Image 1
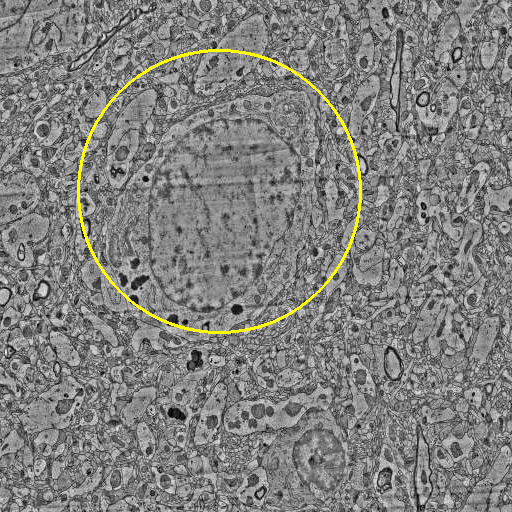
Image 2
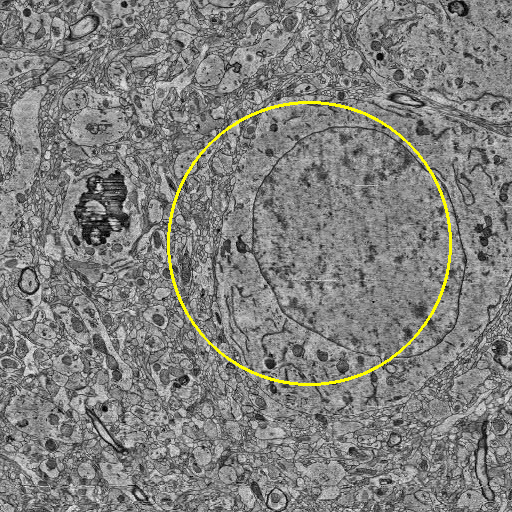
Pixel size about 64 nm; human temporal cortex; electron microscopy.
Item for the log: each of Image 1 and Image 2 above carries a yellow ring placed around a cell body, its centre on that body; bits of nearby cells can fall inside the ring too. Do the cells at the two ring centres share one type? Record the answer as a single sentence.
No, the two cells at the ring centres in Image 1 and Image 2 are of two types.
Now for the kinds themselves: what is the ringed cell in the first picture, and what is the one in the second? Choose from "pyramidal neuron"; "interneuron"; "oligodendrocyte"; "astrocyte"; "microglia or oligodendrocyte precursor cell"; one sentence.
Here the first cell is an interneuron and the second cell is a pyramidal neuron.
